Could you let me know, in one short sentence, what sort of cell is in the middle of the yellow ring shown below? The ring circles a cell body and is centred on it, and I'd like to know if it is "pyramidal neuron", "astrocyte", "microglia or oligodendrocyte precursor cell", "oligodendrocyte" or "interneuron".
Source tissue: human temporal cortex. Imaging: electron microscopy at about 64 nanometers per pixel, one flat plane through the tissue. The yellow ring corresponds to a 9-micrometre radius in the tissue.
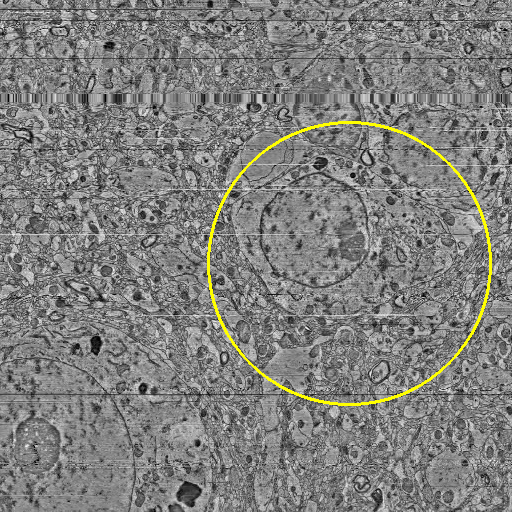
The ring circles the cell body of a pyramidal neuron.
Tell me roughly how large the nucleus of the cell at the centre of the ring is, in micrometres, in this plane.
The ringed cell's nucleus is about 7 micrometres across in this plane.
